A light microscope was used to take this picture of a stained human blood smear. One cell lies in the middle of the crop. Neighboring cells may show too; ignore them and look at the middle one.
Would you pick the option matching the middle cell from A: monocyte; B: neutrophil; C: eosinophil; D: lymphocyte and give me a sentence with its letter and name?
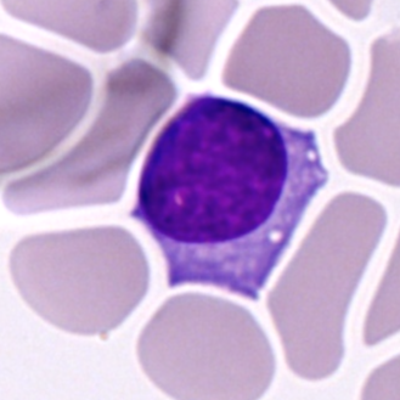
The cell in the middle is a lymphocyte, and so option D is correct.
